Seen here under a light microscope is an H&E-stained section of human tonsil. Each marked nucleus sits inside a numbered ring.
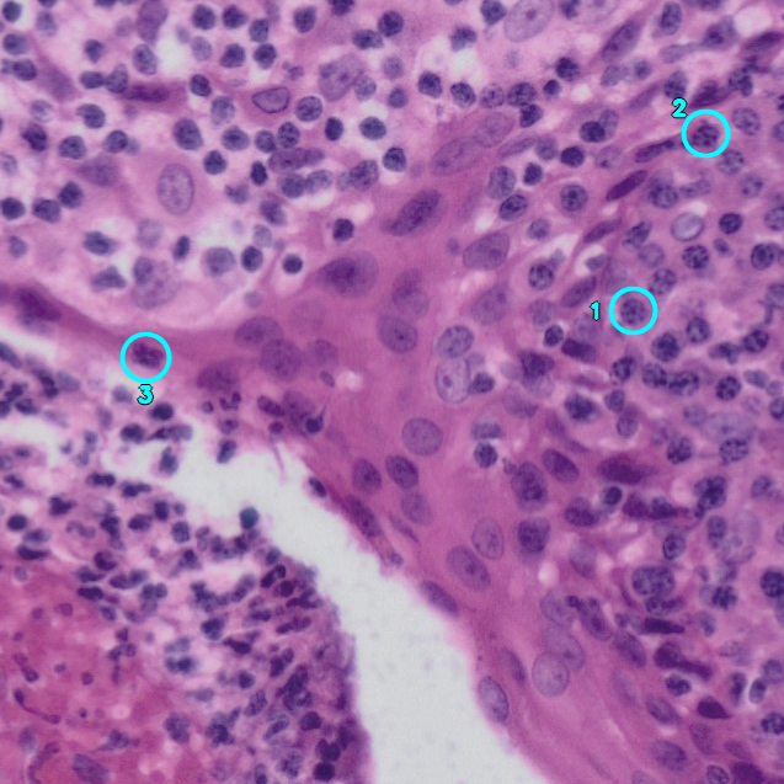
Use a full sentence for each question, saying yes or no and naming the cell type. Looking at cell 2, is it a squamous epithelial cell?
No. Cell number 2 is a plasma cell, not a squamous epithelial cell.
